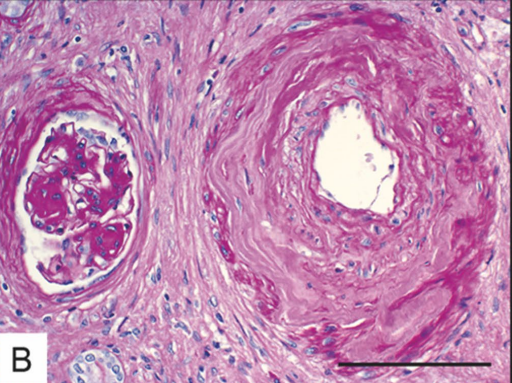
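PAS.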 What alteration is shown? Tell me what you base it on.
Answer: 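An artery on the right has a greatly thickened, layered wall. Its lumen is small compared with the wall thickness. So: High-grade arteriosclerosis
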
